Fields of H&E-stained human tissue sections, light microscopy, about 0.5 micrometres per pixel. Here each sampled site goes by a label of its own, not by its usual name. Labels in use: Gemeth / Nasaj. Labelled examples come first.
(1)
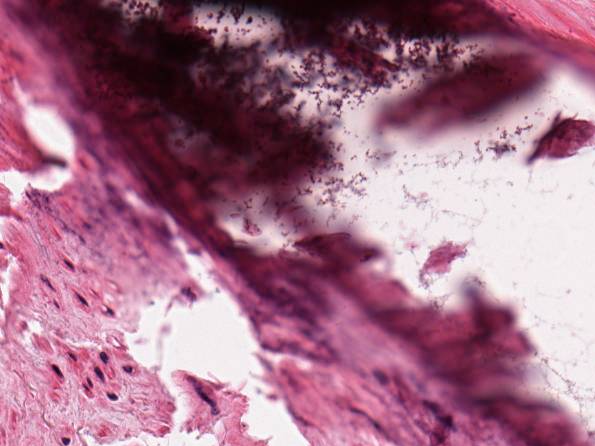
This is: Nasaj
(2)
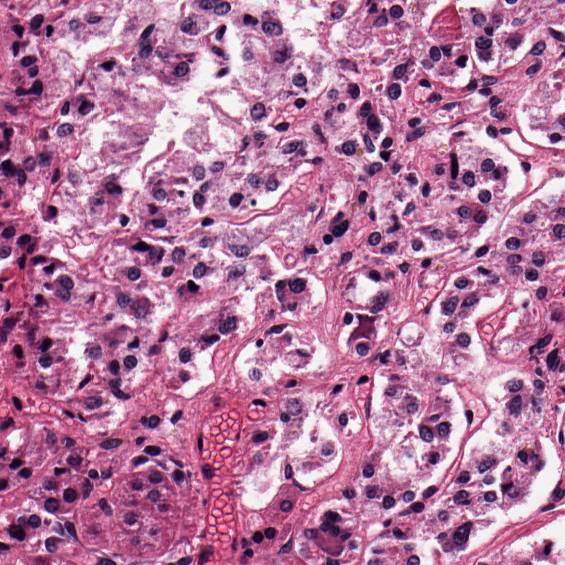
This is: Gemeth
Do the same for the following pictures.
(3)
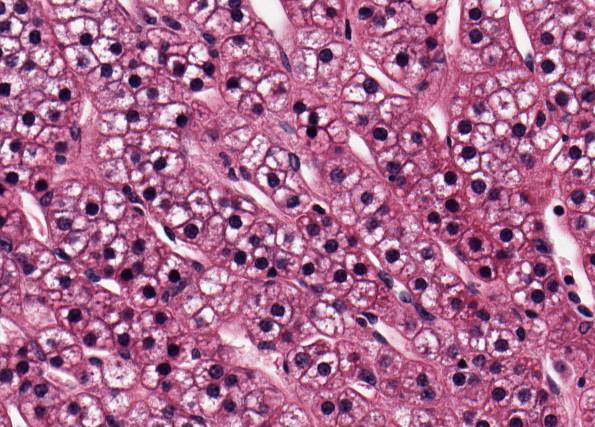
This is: Gemeth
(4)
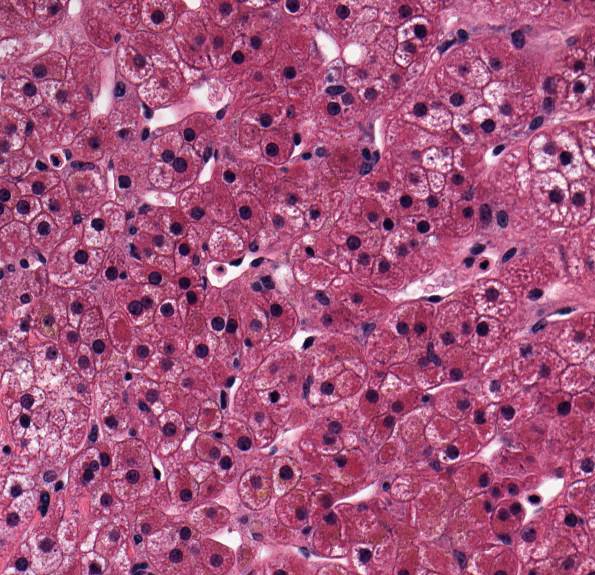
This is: Gemeth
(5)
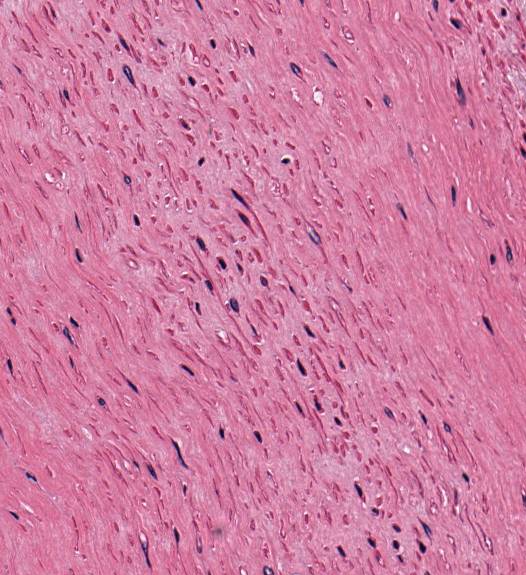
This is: Nasaj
